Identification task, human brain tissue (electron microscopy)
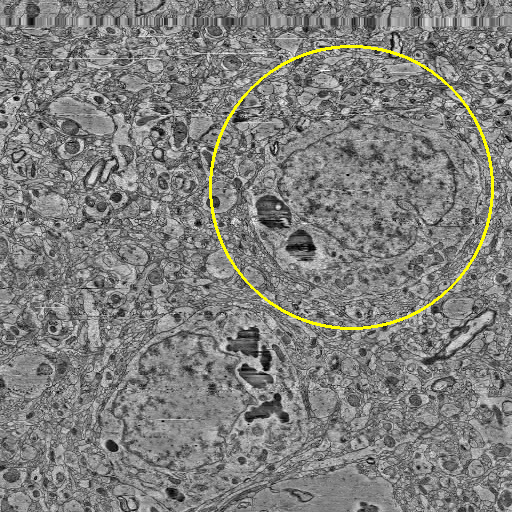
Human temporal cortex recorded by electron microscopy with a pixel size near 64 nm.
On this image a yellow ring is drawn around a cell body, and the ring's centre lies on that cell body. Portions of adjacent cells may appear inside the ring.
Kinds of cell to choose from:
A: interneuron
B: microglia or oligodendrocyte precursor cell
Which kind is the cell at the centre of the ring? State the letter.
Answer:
A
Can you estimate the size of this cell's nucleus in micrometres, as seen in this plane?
In this plane, approximately 11 by 9 micrometers.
